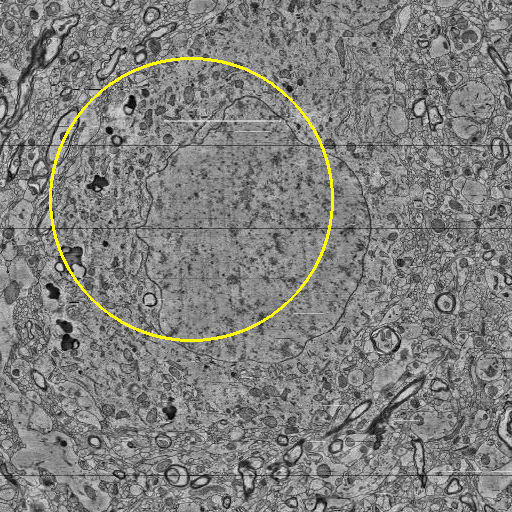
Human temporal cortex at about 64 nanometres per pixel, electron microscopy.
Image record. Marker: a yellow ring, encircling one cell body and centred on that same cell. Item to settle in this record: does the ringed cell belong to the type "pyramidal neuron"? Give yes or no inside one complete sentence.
Yes, in the picture, the cell centred within the yellow ring is of the stated type.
